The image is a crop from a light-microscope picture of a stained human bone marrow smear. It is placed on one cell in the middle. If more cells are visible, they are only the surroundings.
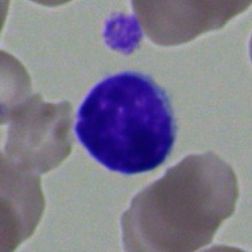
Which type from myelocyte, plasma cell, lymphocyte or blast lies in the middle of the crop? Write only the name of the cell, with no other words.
lymphocyte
